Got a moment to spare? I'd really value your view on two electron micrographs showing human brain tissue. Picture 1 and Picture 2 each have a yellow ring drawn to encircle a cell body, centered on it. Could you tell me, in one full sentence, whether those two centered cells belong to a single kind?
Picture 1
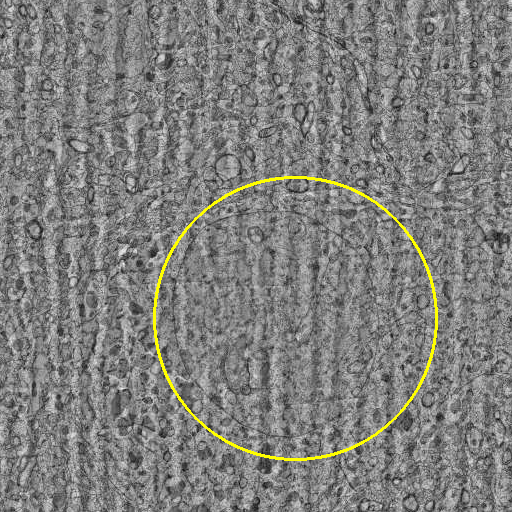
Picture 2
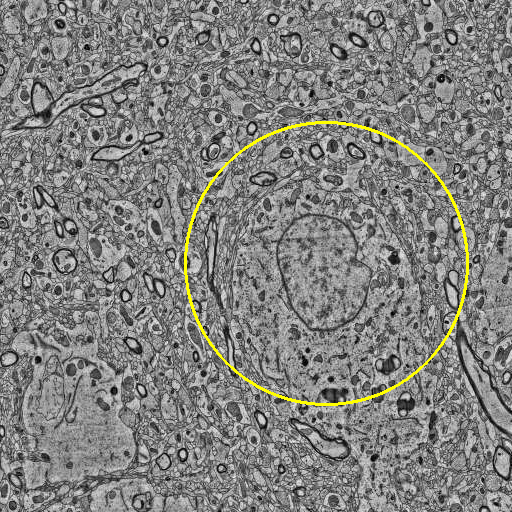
Yes, the two centered cells in Picture 1 and Picture 2 are of a single kind.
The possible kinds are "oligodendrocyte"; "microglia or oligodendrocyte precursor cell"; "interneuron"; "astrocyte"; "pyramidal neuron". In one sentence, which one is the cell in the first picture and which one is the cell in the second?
Both cells are the same kind, each one being a pyramidal neuron.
